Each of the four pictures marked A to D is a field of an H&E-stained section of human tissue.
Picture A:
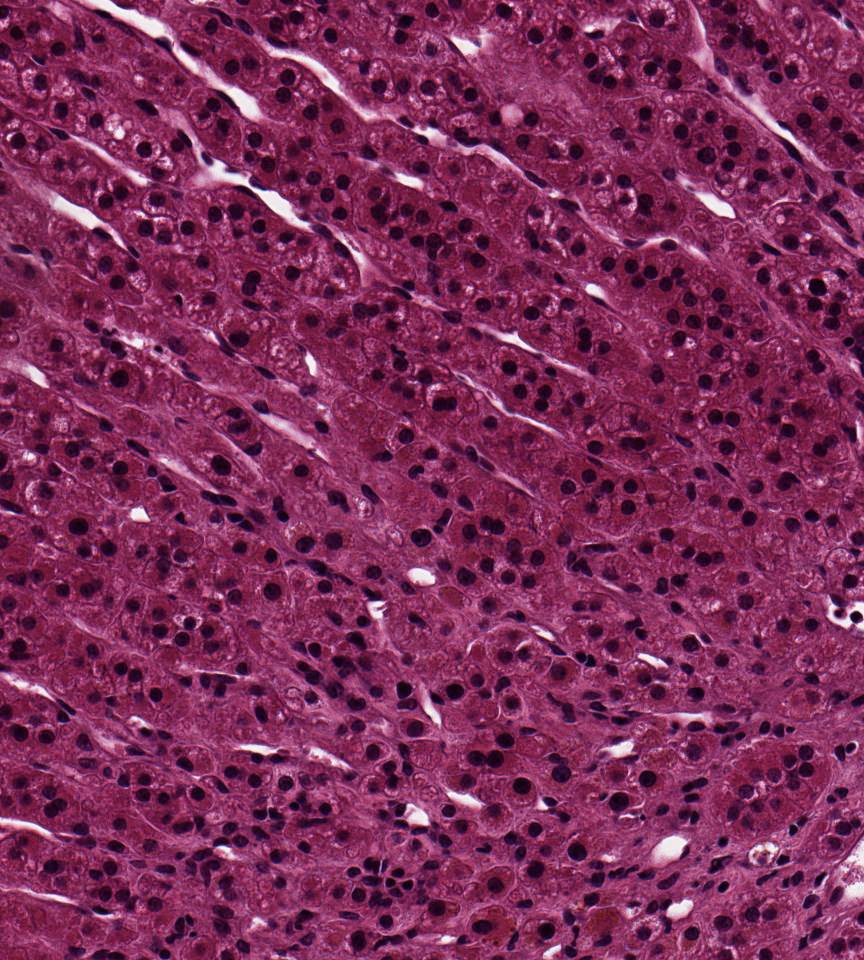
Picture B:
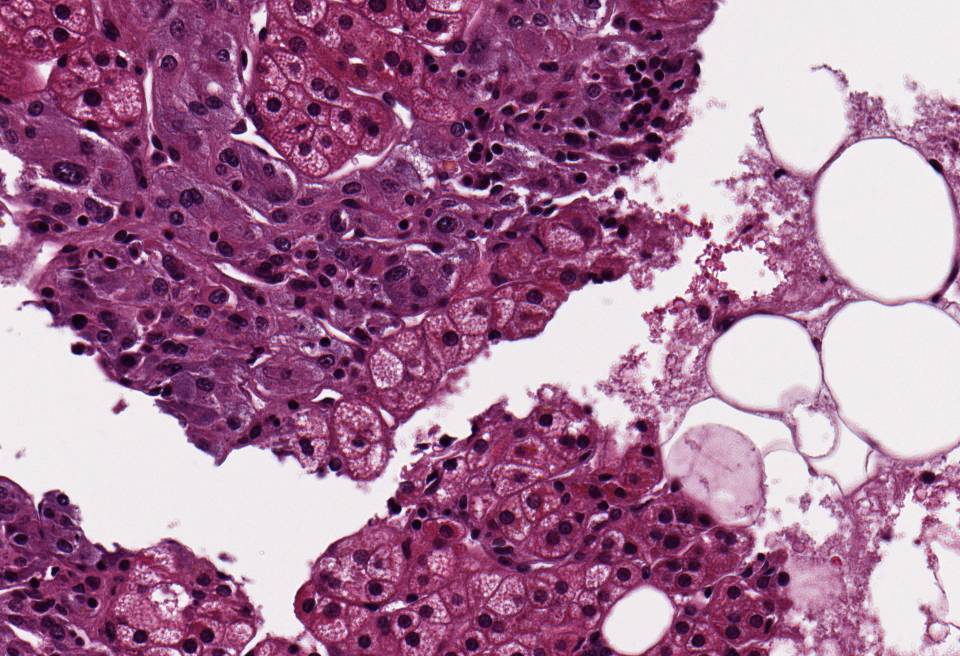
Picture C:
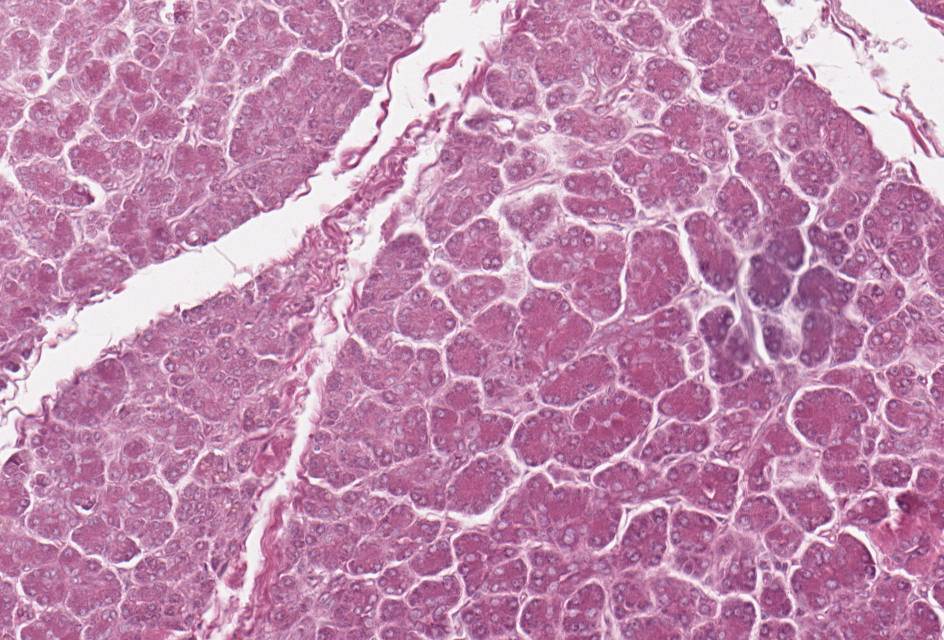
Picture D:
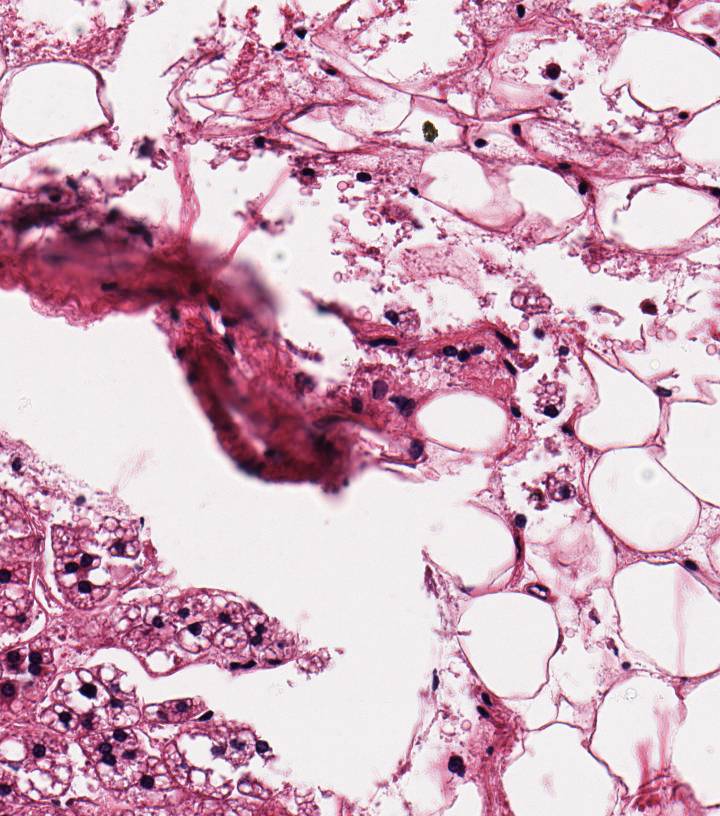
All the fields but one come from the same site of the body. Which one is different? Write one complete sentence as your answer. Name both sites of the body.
Picture C is the odd one out: it comes from the pancreas, while the others come from the adrenal gland.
